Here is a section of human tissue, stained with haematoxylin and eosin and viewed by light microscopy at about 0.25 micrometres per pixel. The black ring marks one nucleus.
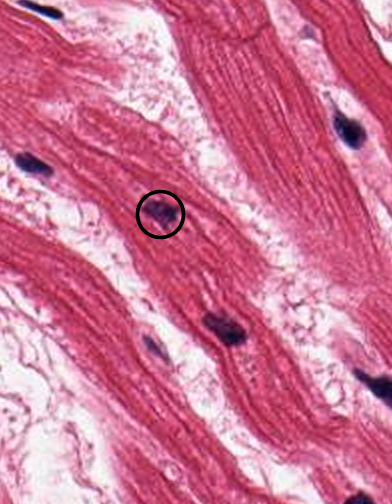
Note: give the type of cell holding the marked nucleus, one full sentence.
The marked nucleus, in this picture, belongs to a cardiomyocyte.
